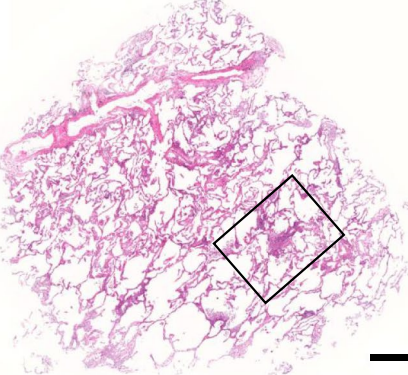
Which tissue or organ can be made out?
Lung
